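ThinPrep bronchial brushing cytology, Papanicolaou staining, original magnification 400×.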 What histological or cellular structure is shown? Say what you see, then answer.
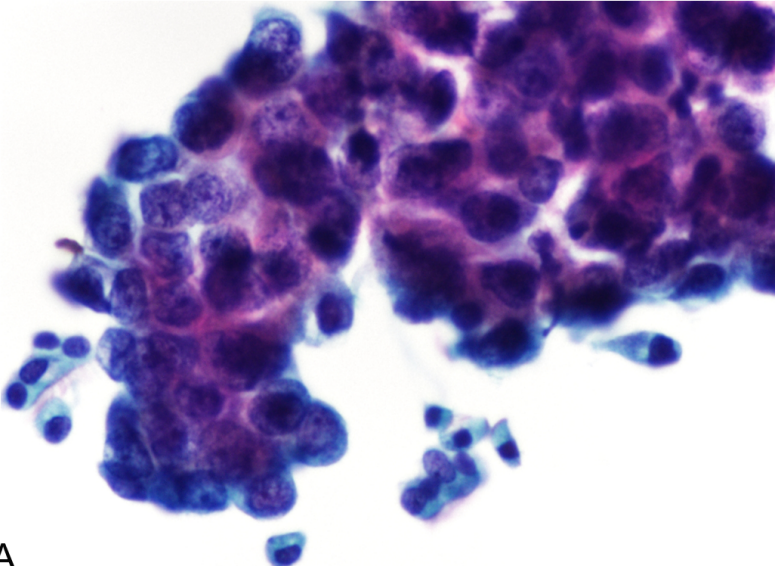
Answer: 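Cells piled in several layers so that parts of the cluster are out of focus. Overlapping nuclei within the cluster. The answer: three-dimensional clusters.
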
